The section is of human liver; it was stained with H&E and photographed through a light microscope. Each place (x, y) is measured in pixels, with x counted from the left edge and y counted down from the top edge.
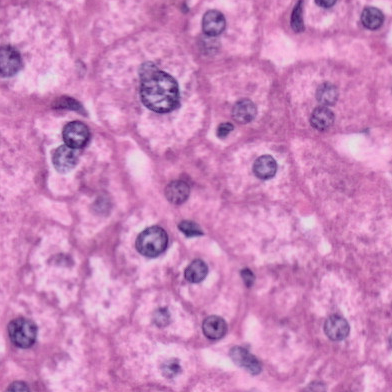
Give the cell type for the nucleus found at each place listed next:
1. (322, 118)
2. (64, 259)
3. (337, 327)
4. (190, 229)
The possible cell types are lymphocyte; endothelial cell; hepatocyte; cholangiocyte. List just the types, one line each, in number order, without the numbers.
hepatocyte
hepatocyte
hepatocyte
endothelial cell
